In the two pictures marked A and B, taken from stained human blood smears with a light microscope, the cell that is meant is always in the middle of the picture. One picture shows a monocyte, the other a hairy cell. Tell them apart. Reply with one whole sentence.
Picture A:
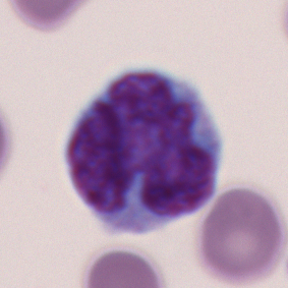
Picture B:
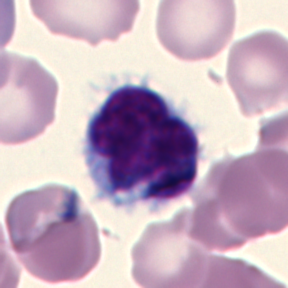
The cell in picture A is a monocyte, and the one in picture B is a hairy cell.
